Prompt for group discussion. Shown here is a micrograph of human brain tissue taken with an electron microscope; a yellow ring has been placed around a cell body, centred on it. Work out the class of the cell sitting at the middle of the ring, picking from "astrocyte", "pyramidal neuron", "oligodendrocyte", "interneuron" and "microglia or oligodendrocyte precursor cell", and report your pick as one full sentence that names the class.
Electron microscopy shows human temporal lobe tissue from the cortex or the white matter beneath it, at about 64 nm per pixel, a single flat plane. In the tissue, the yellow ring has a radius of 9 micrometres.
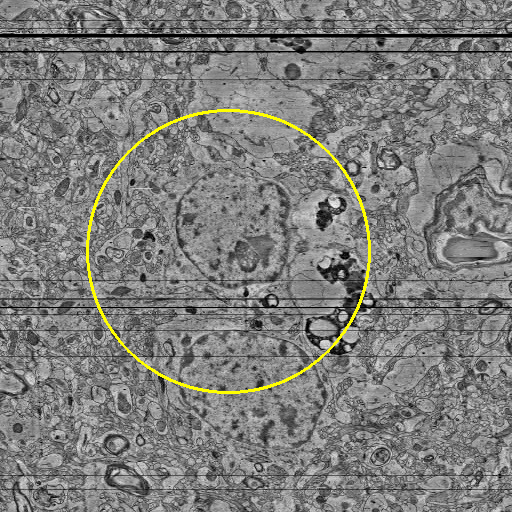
The cell sitting at the middle of the yellow ring is an astrocyte.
